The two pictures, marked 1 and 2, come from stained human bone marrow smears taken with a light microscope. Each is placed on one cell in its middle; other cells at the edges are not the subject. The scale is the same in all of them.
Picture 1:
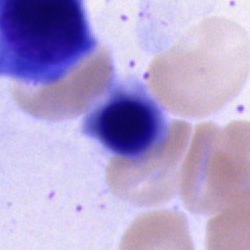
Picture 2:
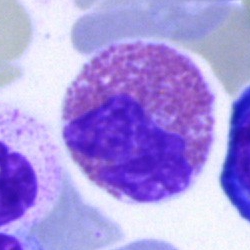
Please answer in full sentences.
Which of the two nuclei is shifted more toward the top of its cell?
Seen within its cell, the nucleus in picture 1 lies further toward the top.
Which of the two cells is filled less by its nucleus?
The nucleus fills less of the cell in picture 2 than in picture 1.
